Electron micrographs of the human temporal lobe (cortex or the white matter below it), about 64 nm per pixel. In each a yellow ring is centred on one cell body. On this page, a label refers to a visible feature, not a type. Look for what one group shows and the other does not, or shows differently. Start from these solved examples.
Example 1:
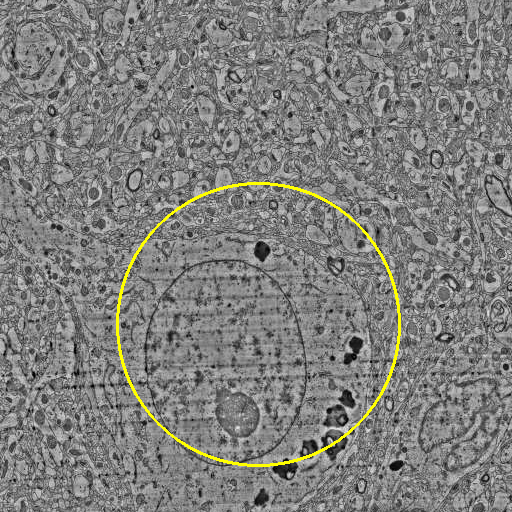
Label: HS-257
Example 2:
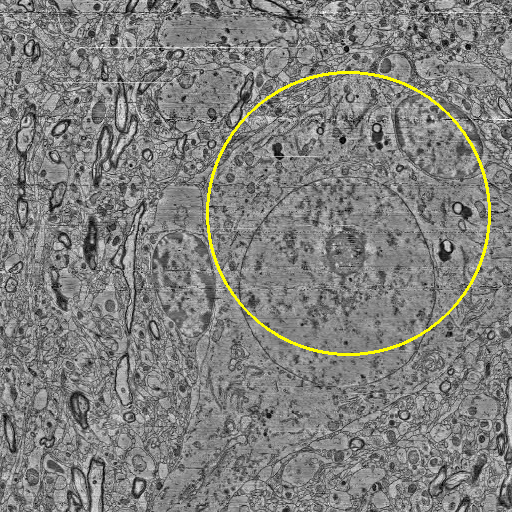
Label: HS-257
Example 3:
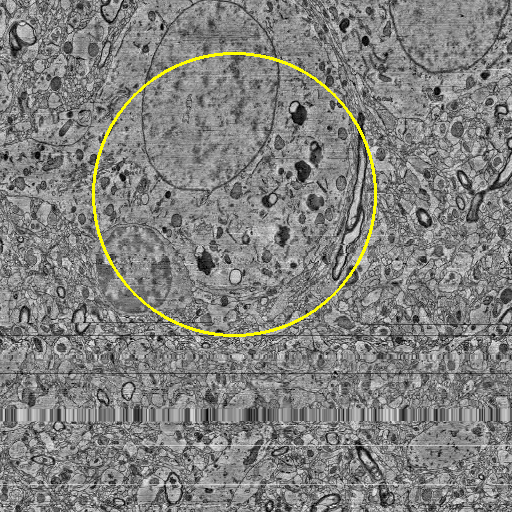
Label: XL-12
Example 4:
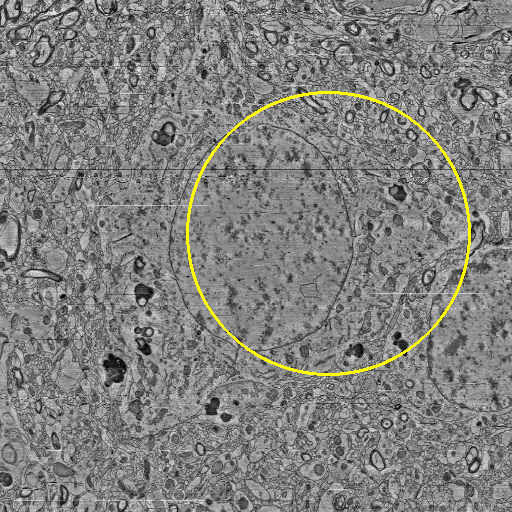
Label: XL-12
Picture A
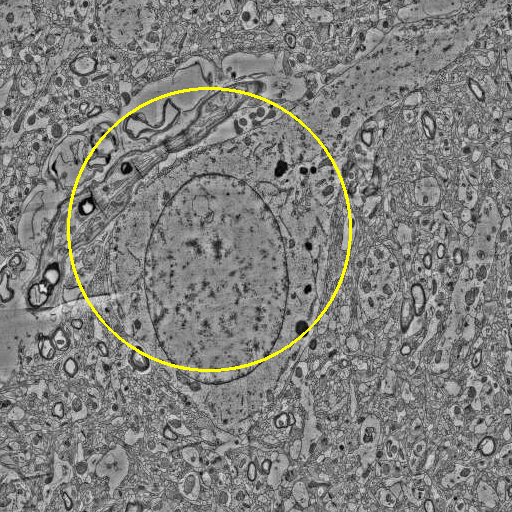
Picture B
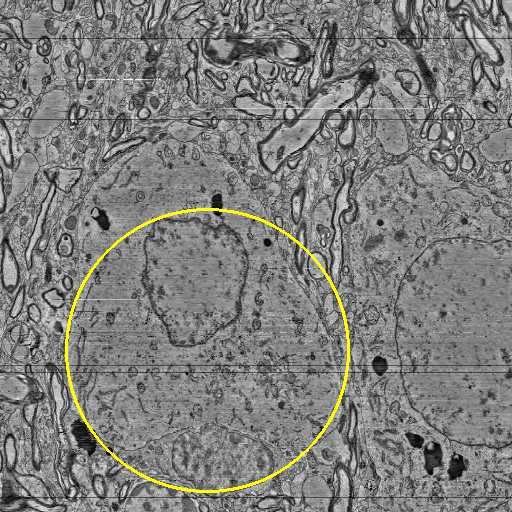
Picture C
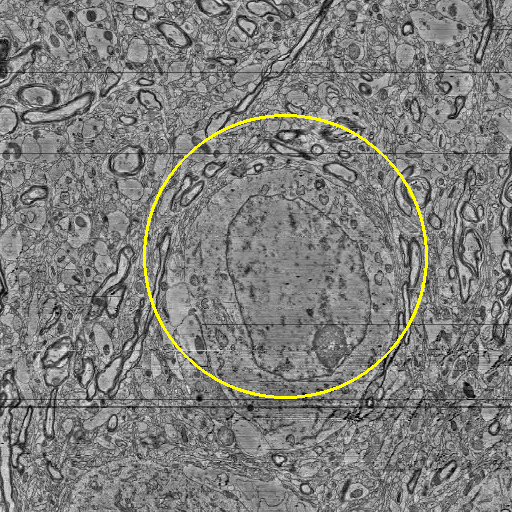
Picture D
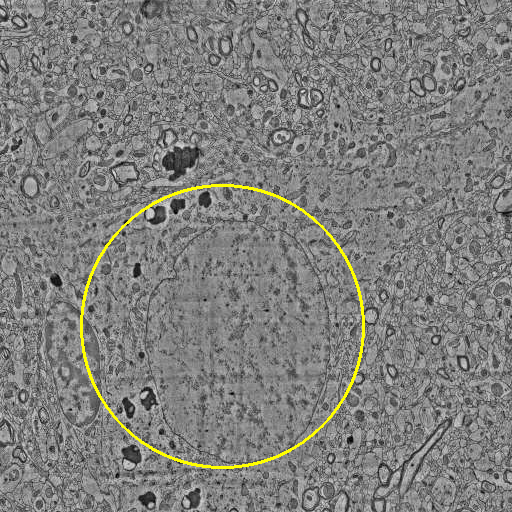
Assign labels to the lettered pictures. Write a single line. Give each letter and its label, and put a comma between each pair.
A XL-12, B XL-12, C HS-257, D XL-12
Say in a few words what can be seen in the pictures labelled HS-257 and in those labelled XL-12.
HS-257, nucleolus seen; XL-12, no nucleolus seen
